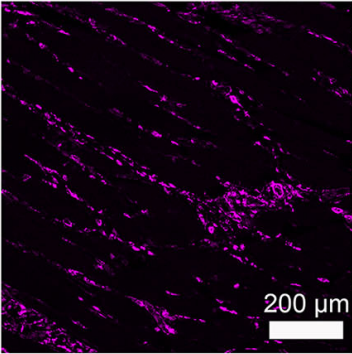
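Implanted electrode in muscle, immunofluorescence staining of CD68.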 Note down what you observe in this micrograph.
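The stained cells appear as small magenta bodies, round to elongated, on a dark background. They are arranged in streaks running diagonally from upper left to lower right, following the direction of the fibres. The cells are scattered across the whole field rather than gathered in one place, with a denser cluster near the centre right.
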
